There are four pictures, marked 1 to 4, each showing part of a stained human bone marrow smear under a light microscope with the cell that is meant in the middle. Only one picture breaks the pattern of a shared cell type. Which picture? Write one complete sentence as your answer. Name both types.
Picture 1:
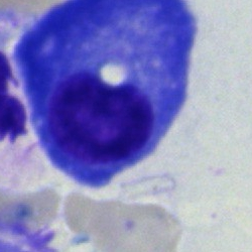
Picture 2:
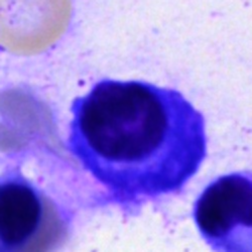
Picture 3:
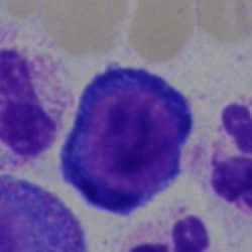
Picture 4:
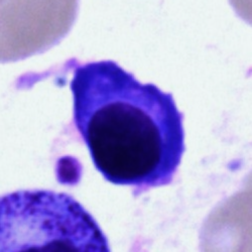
The others show plasma cells, but picture 3 shows a proerythroblast.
